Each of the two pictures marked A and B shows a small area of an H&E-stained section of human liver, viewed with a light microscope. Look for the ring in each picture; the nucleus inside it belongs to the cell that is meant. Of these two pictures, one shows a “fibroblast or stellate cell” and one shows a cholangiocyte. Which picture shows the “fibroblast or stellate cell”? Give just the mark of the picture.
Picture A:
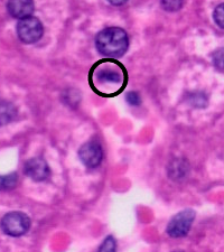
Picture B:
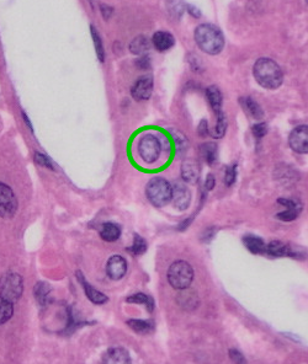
A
